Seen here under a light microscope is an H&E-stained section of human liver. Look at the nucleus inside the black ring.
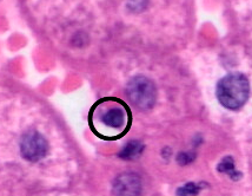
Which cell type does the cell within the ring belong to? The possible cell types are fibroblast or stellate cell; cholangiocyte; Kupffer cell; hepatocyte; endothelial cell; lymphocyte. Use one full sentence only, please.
Placed in its cell category, the cell within the ring is a lymphocyte.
